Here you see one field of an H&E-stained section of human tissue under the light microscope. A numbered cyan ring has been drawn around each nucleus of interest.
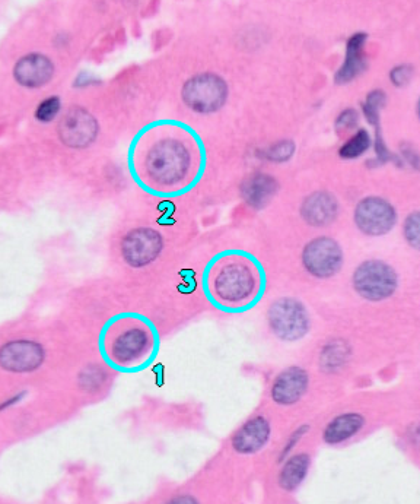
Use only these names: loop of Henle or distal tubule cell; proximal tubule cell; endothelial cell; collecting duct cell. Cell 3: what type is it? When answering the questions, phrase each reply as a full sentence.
Here the cell numbered 3 is a loop of Henle or distal tubule cell.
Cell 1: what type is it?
Here, the cell given the number 1 is a loop of Henle or distal tubule cell.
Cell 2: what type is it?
Here the cell numbered 2 is a proximal tubule cell.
